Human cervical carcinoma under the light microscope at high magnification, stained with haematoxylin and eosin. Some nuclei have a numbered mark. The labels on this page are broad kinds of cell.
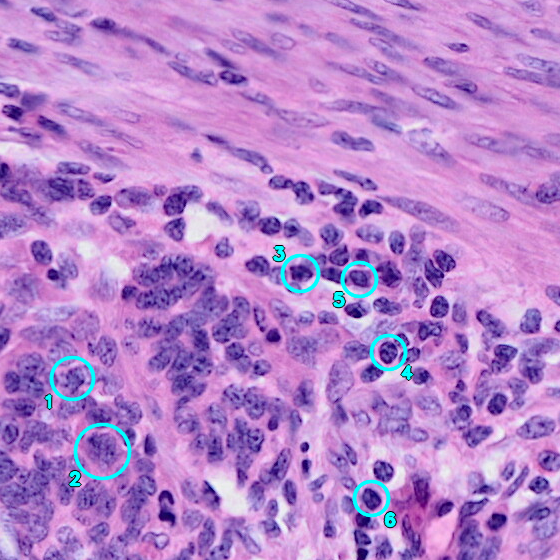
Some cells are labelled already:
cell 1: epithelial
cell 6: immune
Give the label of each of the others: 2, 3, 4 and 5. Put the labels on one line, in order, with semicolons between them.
epithelial; immune; immune; immune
